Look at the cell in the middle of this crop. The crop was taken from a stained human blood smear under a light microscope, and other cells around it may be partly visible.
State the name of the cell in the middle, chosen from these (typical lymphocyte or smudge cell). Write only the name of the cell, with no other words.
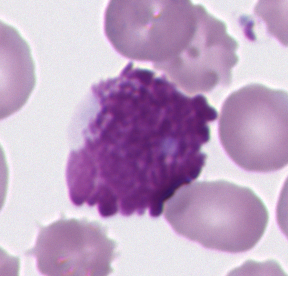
smudge cell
